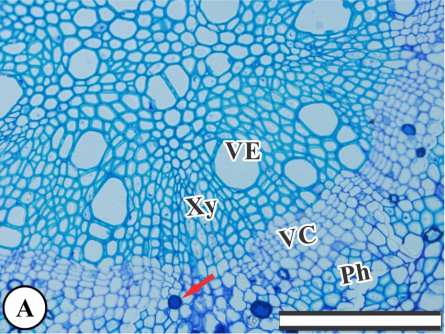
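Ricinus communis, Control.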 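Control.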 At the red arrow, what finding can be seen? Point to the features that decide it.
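Phenolics accumulation. The arrowed cell has dense, dark blue contents. Its neighbours are pale and empty-looking.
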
